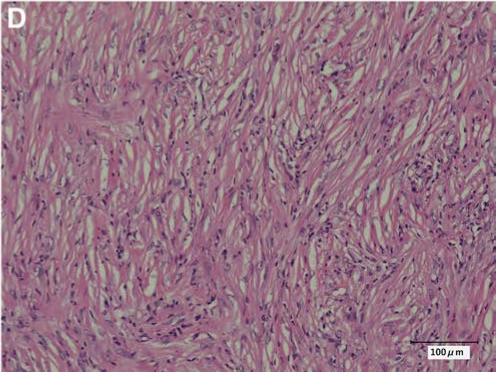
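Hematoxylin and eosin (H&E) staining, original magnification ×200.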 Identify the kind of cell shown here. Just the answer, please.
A: spindle-shaped cells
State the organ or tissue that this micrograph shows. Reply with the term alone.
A: Fibrous tissue.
